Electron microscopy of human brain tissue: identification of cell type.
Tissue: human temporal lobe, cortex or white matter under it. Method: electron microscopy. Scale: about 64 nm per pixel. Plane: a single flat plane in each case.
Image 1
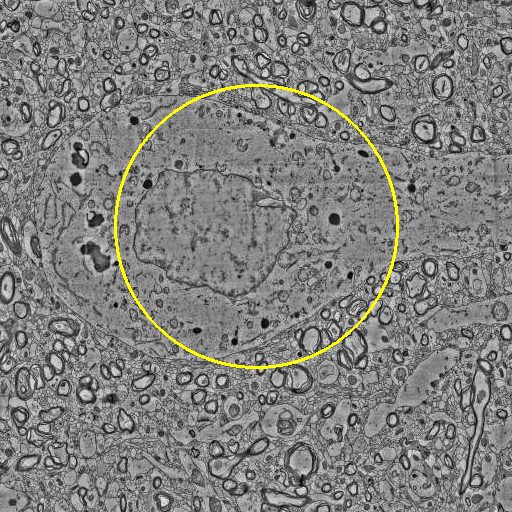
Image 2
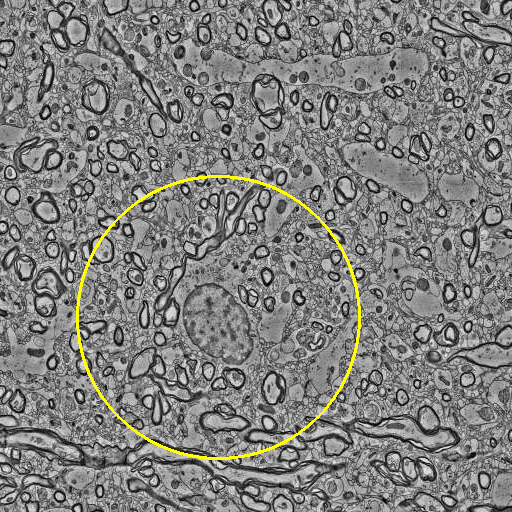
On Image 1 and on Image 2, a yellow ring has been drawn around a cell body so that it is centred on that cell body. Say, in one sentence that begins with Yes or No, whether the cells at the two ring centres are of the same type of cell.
No, the two cells are two separate types of cell.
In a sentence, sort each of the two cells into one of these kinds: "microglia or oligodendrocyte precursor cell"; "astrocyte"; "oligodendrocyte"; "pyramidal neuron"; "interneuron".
The first of the two cells is a pyramidal neuron, and the second is an oligodendrocyte.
